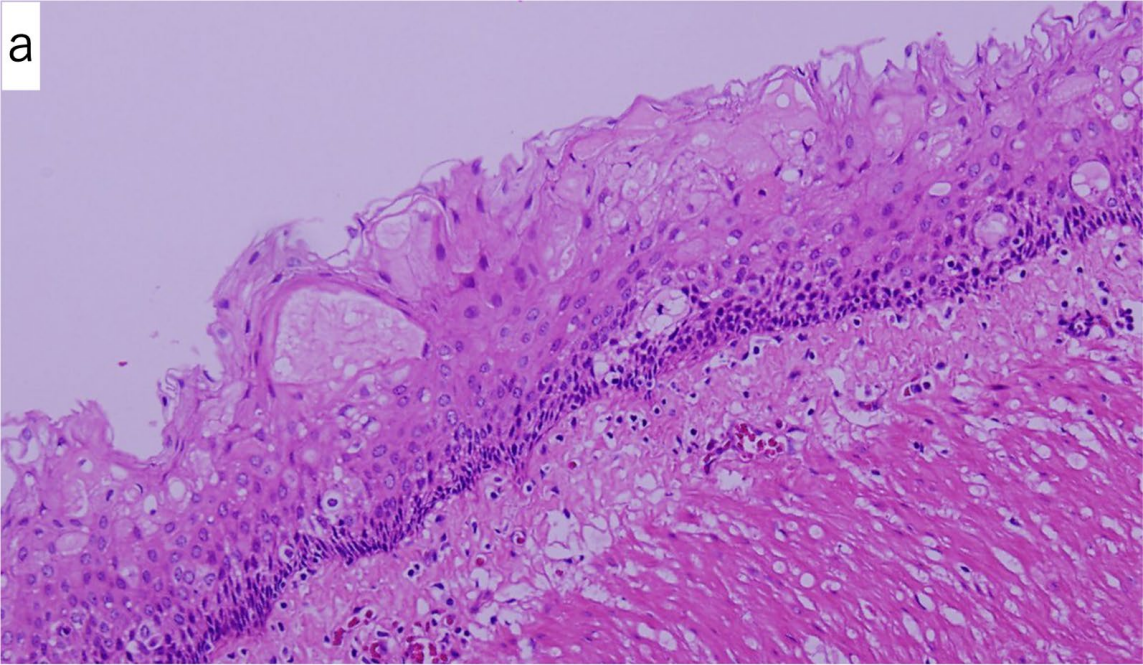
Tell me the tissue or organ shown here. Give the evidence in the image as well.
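Stratified squamous epithelium. Many layers of cells lie over a basal row of small dark crowded nuclei. Cells become larger and flatter toward the free surface. The epithelium lies on loose pink connective tissue with small vessels.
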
